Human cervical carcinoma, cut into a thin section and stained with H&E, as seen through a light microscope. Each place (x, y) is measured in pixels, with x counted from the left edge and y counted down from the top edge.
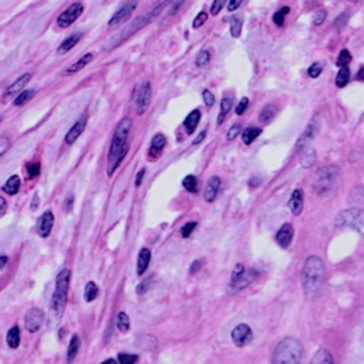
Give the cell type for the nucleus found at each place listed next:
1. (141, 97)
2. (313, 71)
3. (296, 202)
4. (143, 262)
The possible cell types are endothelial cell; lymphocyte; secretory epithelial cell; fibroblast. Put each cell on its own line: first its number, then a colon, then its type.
1: endothelial cell
2: lymphocyte
3: lymphocyte
4: lymphocyte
